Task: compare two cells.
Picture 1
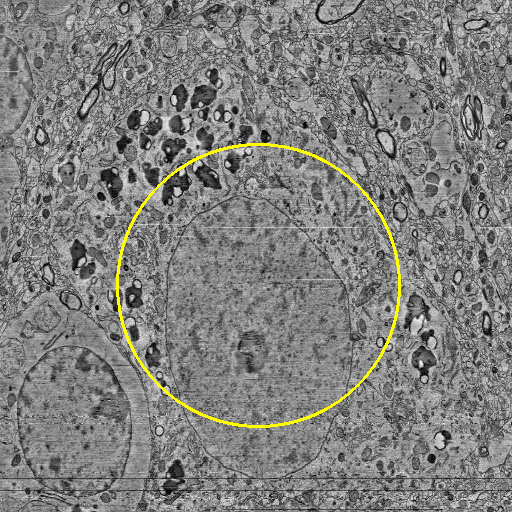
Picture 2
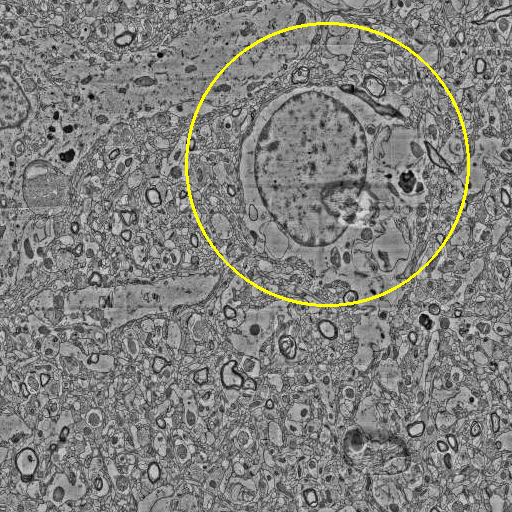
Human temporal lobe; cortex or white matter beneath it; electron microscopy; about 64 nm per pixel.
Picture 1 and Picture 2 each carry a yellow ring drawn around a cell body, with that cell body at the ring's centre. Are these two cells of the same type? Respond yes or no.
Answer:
no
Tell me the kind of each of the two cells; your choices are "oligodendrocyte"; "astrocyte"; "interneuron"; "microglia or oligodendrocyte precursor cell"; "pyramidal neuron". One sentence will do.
The ringed cell is a pyramidal neuron in the first picture and an astrocyte in the second picture.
